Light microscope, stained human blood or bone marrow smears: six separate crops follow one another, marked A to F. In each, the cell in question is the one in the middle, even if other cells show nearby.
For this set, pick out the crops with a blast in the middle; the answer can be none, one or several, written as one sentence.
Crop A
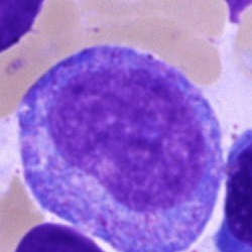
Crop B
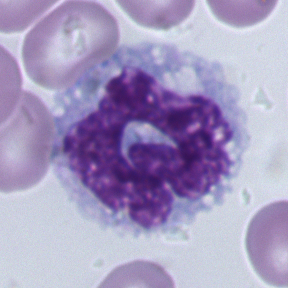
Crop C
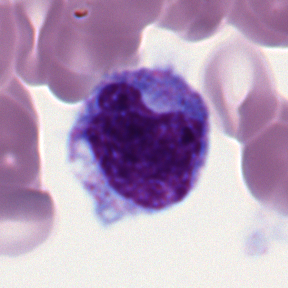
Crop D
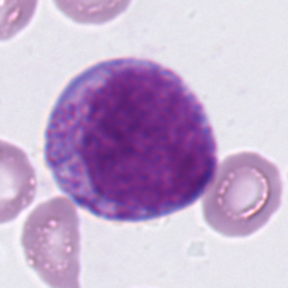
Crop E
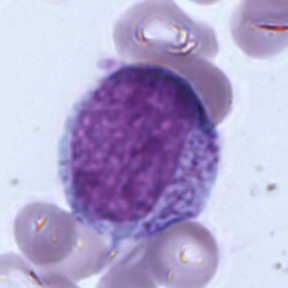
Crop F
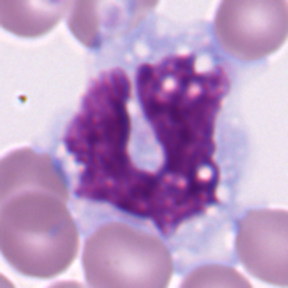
In none of the crops is the central cell a blast.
